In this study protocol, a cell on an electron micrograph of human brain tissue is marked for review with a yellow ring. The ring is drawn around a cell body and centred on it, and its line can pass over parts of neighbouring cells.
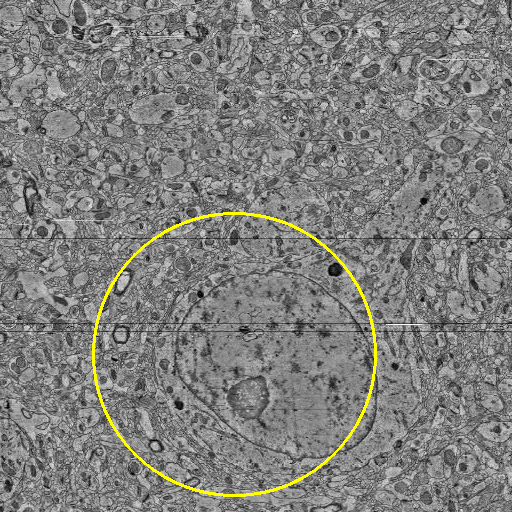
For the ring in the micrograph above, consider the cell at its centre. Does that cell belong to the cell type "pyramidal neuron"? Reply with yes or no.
yes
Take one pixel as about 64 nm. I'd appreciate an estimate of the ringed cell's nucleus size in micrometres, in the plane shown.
The nucleus measures about 14 by 11 micrometres in this plane.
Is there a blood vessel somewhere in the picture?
No.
